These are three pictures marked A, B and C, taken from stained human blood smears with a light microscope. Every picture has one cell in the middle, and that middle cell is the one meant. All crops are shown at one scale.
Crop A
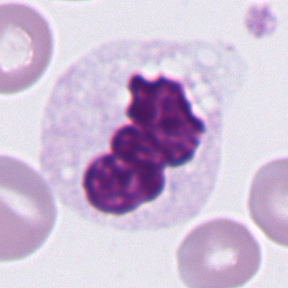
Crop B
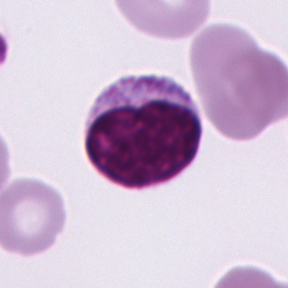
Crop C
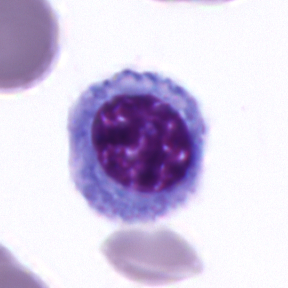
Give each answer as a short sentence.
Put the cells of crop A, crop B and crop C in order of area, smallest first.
From the smallest up, the order is B, C, A.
